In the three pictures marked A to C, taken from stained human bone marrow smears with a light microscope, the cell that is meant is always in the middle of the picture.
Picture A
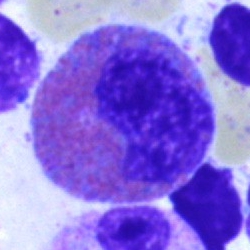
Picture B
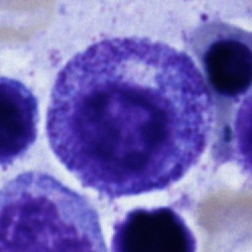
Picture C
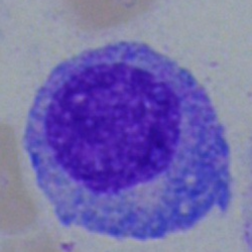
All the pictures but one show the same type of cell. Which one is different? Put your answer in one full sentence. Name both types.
The others show promyelocytes, but picture A shows an eosinophil.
